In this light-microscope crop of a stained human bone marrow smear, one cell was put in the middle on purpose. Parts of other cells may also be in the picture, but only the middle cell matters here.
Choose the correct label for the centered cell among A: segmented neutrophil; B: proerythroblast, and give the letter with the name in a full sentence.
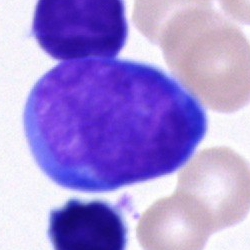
Option B is right, the centrally situated cell being a proerythroblast.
